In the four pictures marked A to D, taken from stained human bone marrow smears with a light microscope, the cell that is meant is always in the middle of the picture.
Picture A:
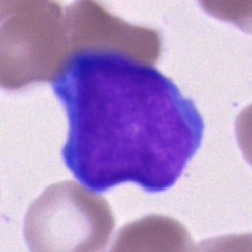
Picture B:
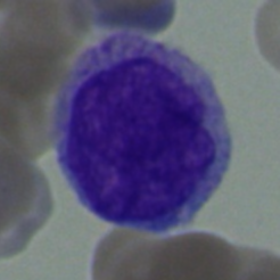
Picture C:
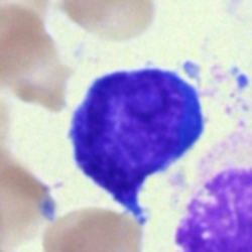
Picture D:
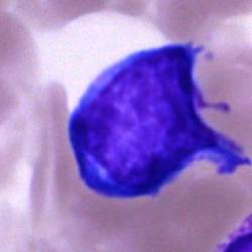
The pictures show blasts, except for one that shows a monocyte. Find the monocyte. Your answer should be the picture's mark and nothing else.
B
